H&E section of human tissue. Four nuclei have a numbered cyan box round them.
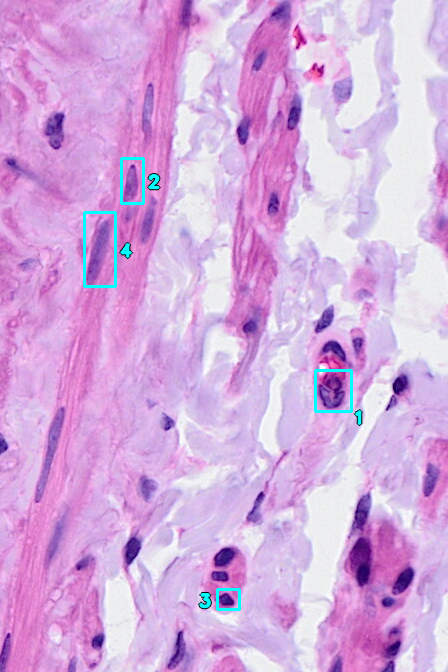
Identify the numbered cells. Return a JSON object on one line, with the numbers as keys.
{"1": "endothelial cell", "2": "smooth muscle cell", "3": "smooth muscle cell", "4": "smooth muscle cell"}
